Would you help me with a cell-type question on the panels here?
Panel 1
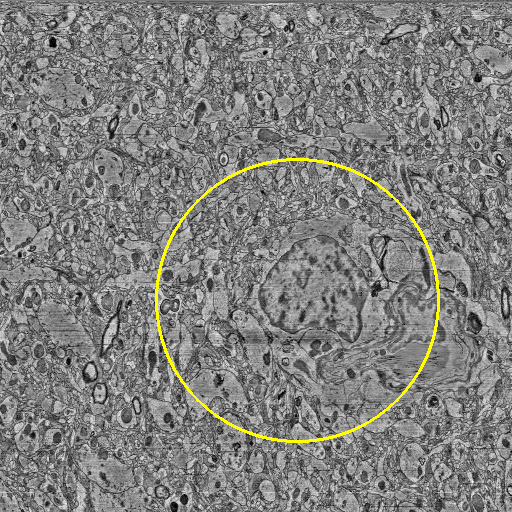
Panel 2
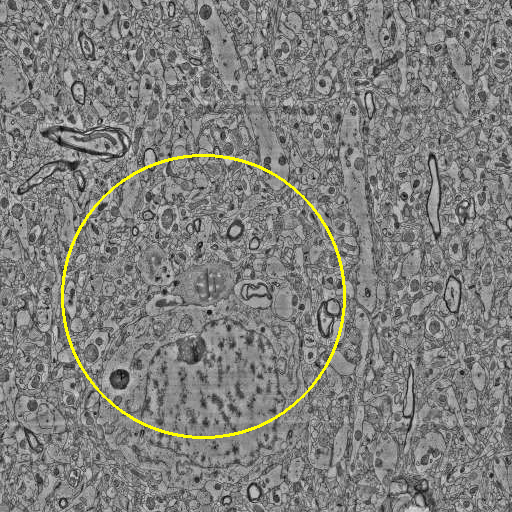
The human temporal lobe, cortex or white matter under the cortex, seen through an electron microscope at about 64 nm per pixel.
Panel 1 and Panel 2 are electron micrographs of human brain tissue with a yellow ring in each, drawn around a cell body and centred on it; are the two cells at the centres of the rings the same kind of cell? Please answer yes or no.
no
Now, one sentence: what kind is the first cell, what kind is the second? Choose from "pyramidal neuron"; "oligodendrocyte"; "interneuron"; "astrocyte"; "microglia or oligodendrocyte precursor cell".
The first picture has a microglial cell or oligodendrocyte precursor cell at its ring centre, and the second has an oligodendrocyte.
